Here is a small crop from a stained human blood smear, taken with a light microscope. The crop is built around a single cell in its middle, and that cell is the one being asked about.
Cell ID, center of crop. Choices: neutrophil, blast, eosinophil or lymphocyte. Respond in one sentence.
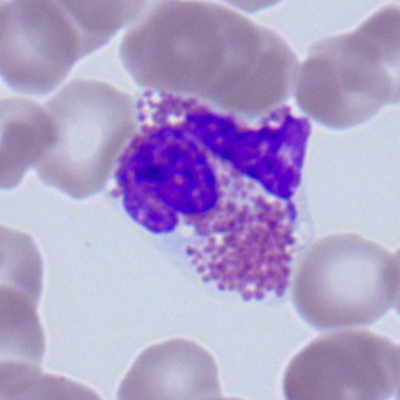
The centrally located cell in the crop is an eosinophil.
